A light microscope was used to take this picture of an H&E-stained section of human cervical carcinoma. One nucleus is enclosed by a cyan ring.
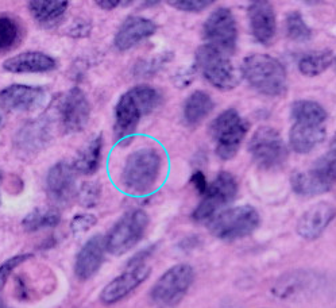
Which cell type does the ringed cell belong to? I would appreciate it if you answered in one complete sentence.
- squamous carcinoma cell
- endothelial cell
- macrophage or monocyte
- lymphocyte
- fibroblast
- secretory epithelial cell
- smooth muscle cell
It is as a squamous carcinoma cell that the ringed cell is recorded.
